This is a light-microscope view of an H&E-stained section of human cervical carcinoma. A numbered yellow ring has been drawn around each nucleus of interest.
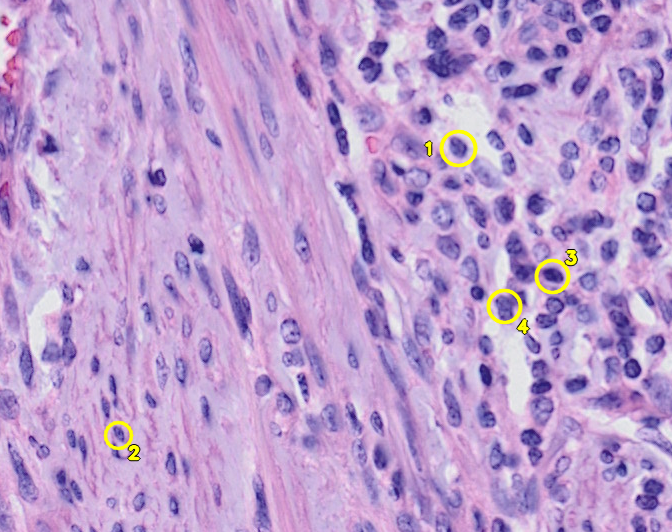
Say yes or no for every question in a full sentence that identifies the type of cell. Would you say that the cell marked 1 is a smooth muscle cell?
No, not a smooth muscle cell: the cell with number 1 is a lymphocyte.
